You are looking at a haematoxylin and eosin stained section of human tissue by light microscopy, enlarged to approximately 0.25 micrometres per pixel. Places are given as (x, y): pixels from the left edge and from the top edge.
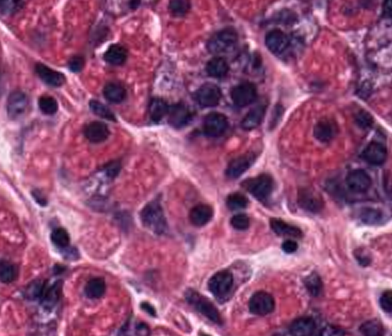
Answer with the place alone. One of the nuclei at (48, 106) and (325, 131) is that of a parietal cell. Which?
(325, 131)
